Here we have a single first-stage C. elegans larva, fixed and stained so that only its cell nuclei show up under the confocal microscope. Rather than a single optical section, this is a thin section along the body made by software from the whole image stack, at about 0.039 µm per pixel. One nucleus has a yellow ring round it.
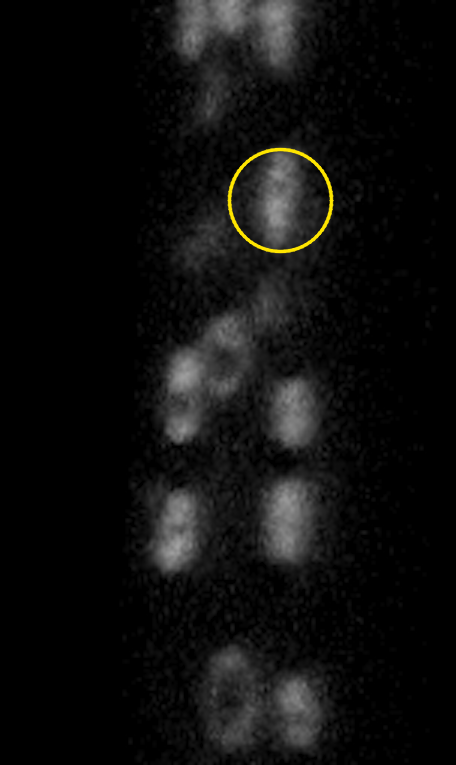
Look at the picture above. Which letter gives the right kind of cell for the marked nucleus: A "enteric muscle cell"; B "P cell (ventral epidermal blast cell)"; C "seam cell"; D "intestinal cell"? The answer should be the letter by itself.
A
